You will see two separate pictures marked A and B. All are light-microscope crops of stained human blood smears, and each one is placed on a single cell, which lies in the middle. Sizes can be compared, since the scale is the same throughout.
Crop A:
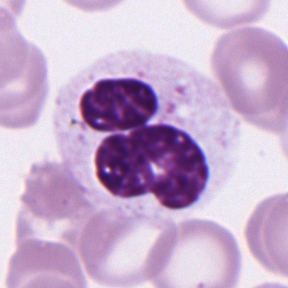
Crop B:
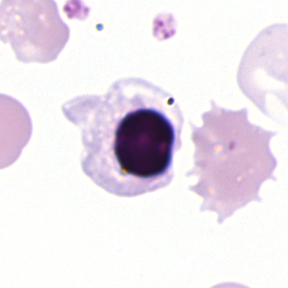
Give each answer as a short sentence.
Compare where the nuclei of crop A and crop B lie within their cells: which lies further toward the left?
The nucleus in crop A lies further toward the left of its cell.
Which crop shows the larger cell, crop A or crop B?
The cell in crop A is larger, with about 2.5 times the area of the one in crop B.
